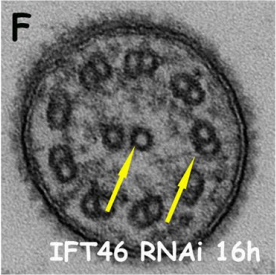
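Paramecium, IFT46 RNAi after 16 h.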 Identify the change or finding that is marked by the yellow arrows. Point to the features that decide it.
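Cross-section of a cilium with a ring of doublets. That points to this answer: ill-organised microtubules.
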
